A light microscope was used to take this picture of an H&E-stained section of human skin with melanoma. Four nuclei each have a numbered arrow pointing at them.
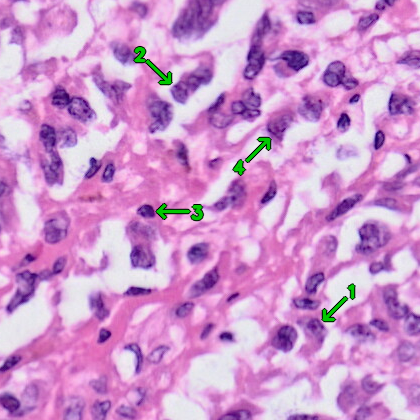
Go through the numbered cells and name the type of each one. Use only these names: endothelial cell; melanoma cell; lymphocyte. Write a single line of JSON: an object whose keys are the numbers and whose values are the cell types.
{"1": "melanoma cell", "2": "melanoma cell", "3": "lymphocyte", "4": "melanoma cell"}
